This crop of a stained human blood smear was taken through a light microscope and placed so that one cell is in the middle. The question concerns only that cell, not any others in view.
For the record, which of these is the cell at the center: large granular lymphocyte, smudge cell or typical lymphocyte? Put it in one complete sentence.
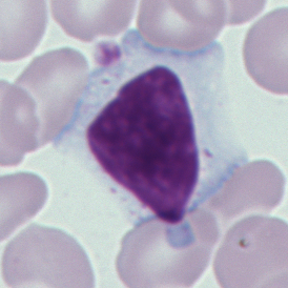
Regarding the central cell, it is a large granular lymphocyte.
